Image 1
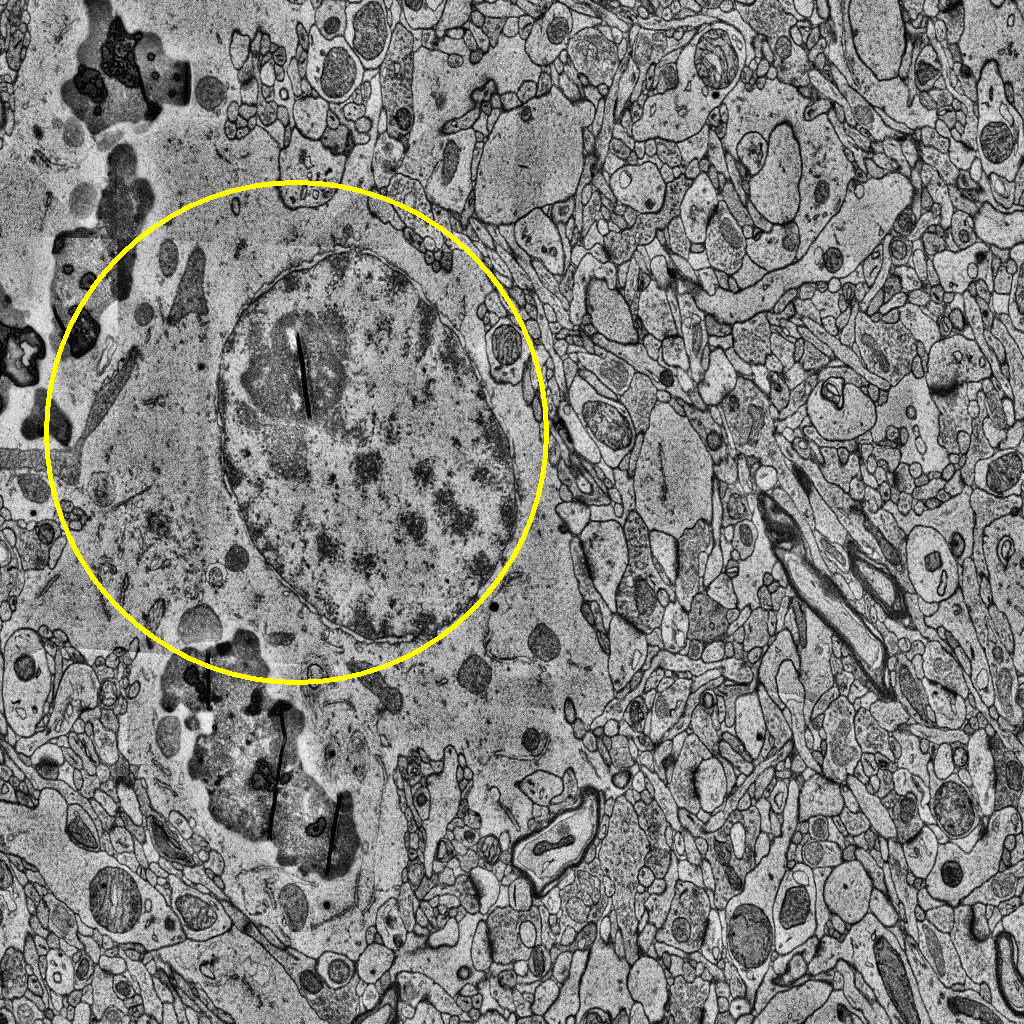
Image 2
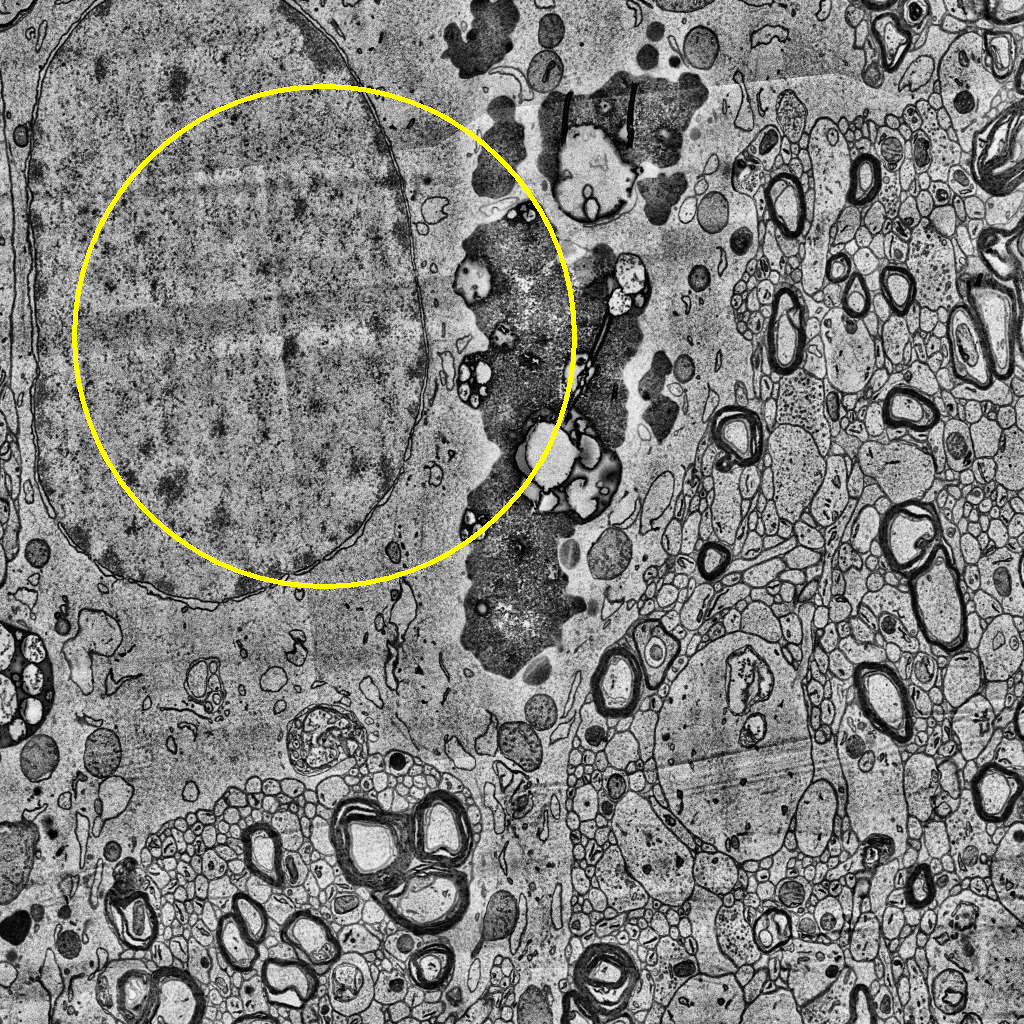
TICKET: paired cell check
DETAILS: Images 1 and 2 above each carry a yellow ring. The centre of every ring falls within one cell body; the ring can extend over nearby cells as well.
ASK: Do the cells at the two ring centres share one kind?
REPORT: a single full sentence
Yes, the cells at the ring centres of Images 1 and 2 belong to a single kind.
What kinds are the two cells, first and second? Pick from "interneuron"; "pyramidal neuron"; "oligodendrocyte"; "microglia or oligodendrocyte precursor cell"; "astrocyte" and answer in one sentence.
Each of the two pictures has an astrocyte at the ring centre.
